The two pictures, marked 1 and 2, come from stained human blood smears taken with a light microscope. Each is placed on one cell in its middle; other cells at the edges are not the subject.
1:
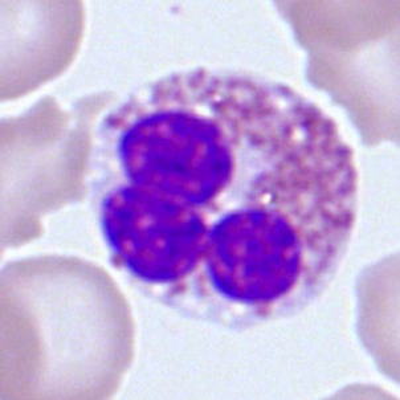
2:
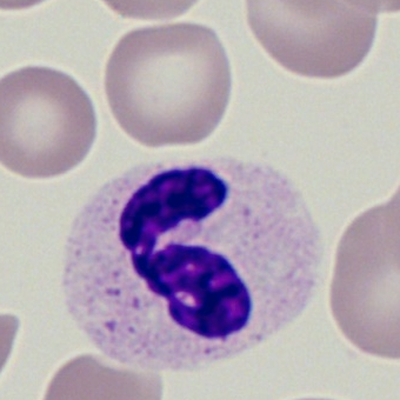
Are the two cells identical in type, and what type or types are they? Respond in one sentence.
No, crop 1 offers an eosinophil, while crop 2 offers a segmented neutrophil.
